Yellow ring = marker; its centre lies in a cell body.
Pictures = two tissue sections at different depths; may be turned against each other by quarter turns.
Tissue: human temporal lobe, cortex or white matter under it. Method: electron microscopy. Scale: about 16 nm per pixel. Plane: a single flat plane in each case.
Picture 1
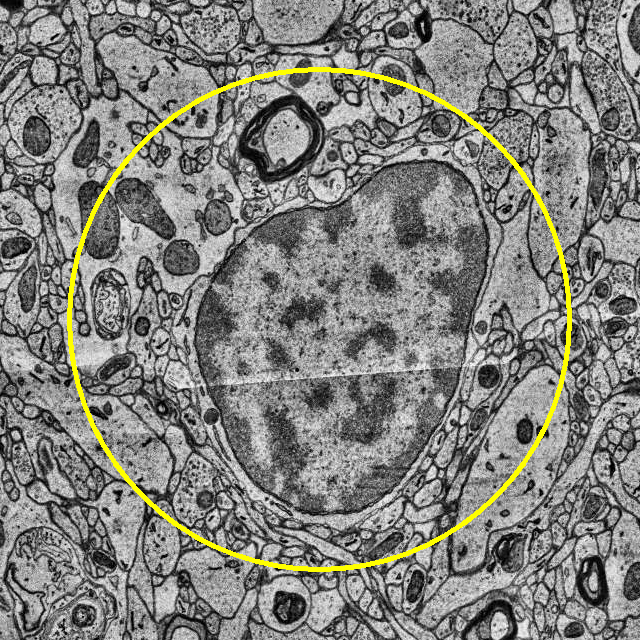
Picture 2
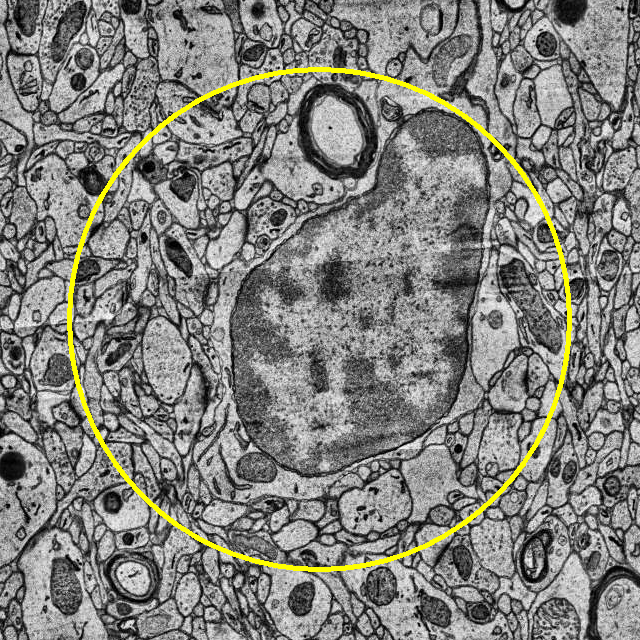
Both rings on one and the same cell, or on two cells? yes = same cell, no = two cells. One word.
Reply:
yes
